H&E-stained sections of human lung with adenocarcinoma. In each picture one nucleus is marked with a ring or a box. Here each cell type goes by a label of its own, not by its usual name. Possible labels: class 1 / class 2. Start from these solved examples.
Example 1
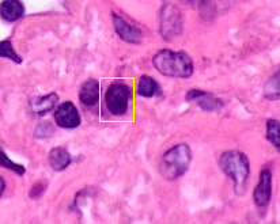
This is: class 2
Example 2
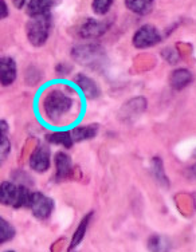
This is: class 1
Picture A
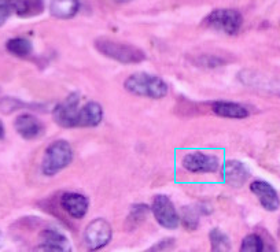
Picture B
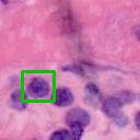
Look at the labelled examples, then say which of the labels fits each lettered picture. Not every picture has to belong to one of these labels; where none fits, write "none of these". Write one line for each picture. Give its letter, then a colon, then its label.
A: class 1
B: class 1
